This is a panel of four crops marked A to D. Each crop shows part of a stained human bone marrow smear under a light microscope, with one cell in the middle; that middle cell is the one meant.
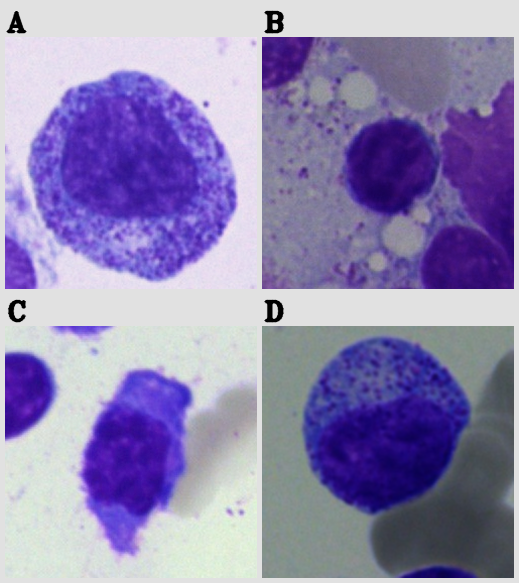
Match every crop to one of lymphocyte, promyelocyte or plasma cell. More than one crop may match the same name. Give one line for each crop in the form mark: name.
A: promyelocyte
B: lymphocyte
C: plasma cell
D: promyelocyte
